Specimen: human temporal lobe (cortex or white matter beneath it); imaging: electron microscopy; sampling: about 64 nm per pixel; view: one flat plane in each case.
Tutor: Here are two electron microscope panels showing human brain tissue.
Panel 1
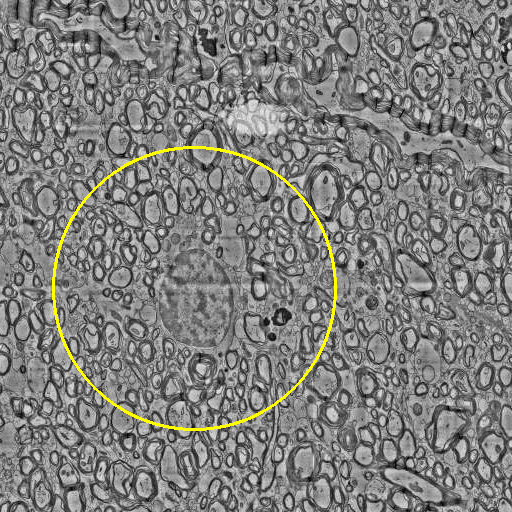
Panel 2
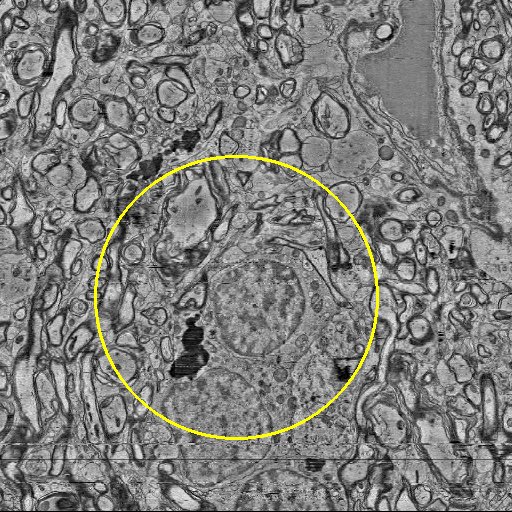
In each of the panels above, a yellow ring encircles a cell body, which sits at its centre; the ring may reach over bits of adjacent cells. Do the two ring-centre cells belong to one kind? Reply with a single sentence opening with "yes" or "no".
Yes, the two cells sitting at the ring centres in the panels belong to one kind.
